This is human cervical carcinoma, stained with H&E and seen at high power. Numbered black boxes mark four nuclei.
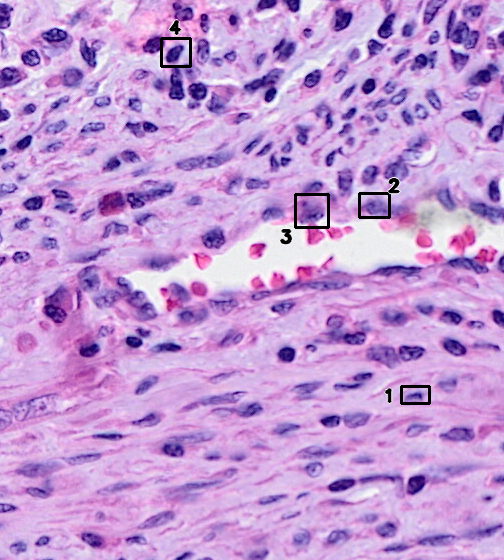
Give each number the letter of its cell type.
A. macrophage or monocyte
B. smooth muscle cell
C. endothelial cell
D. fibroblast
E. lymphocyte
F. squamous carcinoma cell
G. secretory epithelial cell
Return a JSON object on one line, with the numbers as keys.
{"1": "B", "2": "C", "3": "C", "4": "E"}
